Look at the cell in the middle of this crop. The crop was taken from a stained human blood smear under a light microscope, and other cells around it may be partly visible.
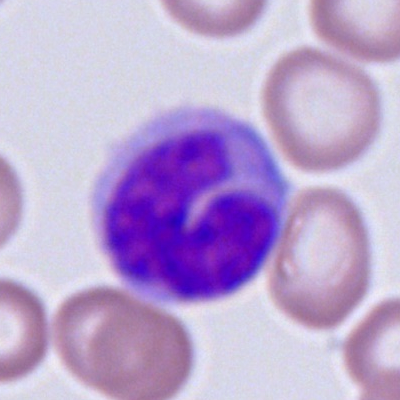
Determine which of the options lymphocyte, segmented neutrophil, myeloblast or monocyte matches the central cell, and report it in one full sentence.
In this smear crop, the middle cell is a monocyte.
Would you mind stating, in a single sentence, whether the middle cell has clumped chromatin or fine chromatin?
The chromatin of this one is coarsely clumped.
